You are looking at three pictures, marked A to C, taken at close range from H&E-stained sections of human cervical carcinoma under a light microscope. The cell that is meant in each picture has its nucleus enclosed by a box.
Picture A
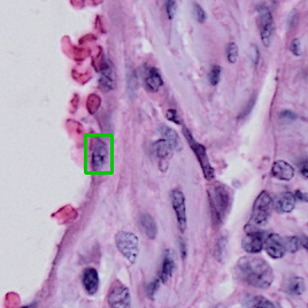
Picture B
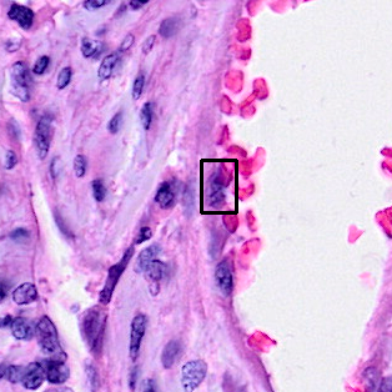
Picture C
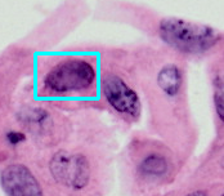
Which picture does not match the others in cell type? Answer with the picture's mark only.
C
